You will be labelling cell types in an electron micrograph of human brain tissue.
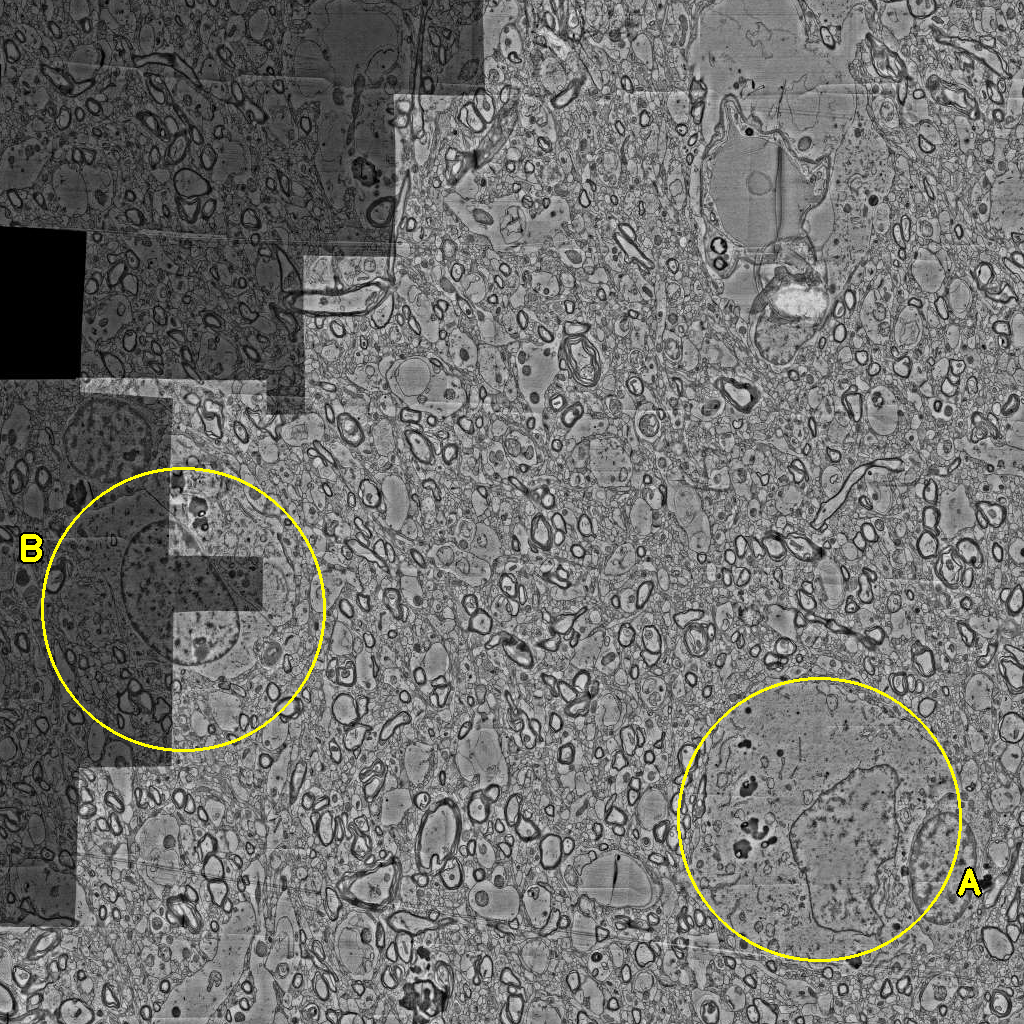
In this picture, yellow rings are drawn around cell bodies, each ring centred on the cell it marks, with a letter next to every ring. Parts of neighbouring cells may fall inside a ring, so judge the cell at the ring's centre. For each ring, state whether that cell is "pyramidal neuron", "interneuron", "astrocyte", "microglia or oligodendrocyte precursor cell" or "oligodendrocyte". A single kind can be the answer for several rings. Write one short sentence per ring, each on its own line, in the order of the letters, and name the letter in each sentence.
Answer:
Ring A contains a pyramidal neuron at its centre.
Ring B contains a microglial cell or oligodendrocyte precursor cell at its centre.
